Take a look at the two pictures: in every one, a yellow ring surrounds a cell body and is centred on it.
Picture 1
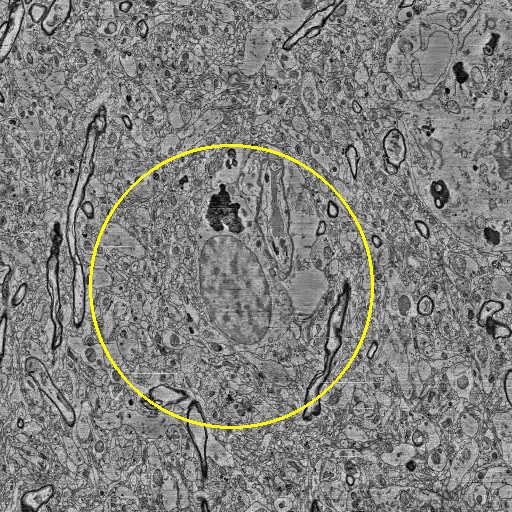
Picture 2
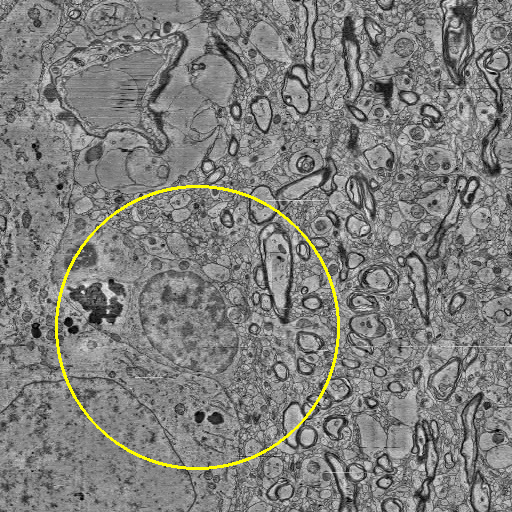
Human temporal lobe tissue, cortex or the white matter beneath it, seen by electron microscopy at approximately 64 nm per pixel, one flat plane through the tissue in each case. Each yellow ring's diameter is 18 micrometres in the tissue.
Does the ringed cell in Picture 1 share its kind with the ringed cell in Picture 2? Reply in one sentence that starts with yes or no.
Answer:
Yes, the two centred cells, one per picture, are of one kind.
